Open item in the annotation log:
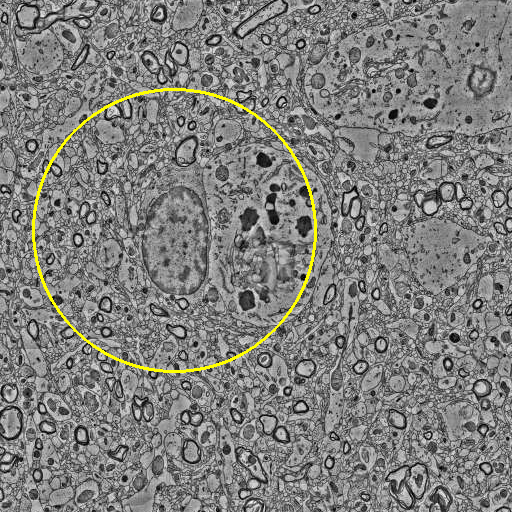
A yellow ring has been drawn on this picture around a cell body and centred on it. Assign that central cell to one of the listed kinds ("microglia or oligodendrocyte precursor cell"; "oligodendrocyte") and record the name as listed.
oligodendrocyte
